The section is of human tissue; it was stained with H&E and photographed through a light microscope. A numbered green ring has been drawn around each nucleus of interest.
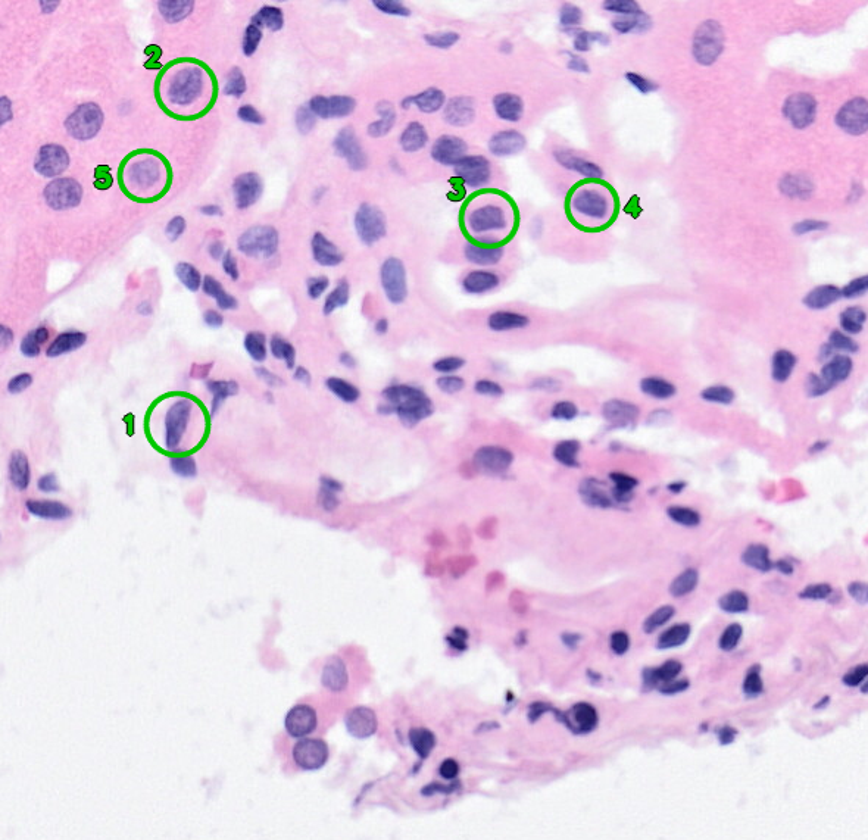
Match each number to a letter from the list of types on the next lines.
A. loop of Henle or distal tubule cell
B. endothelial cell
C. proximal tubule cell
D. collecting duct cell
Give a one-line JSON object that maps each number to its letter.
{"1": "B", "2": "C", "3": "D", "4": "D", "5": "C"}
